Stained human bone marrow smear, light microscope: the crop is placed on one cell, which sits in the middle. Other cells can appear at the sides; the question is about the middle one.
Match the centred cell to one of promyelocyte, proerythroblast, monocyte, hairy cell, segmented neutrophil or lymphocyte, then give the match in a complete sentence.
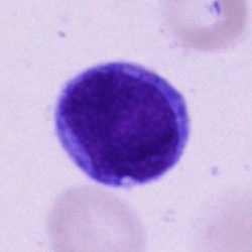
Classified as a monocyte is the cell in the middle of this crop.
